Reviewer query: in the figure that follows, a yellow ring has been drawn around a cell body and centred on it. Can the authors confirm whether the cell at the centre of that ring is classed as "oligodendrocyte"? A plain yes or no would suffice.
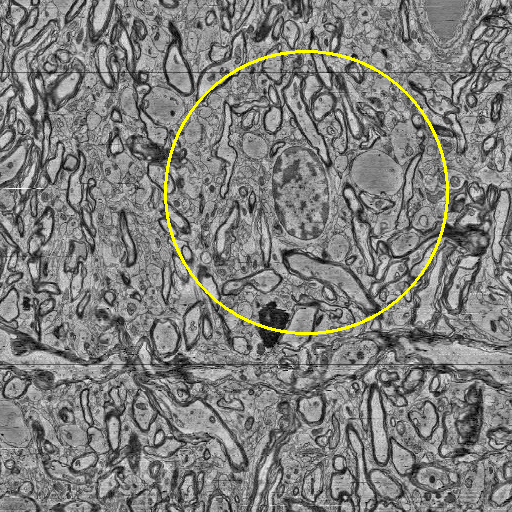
no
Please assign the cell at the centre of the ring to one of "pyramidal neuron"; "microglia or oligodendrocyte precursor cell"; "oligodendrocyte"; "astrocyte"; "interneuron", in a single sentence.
Instead, the ring in this picture marks a microglial cell or oligodendrocyte precursor cell.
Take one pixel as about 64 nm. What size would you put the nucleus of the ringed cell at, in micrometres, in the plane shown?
About 6 by 4 micrometers for the nucleus, in this plane.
